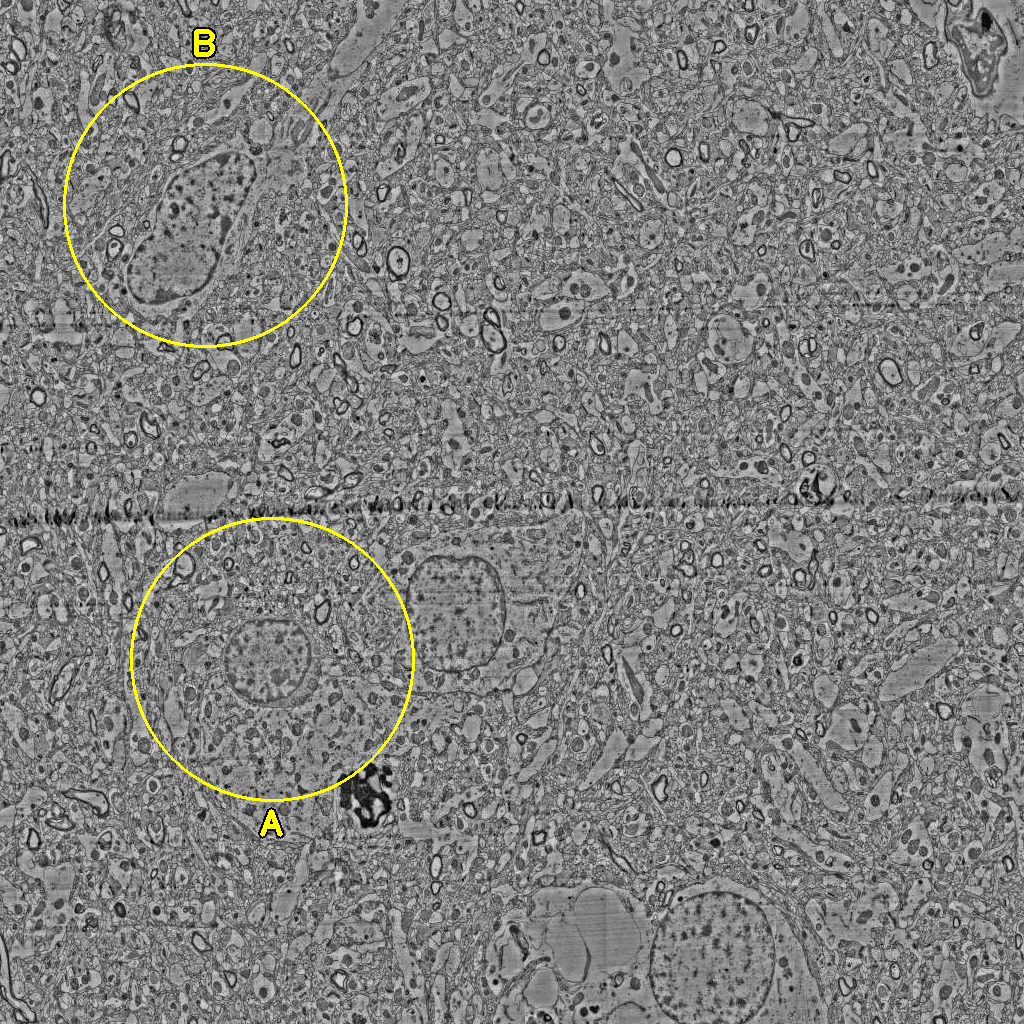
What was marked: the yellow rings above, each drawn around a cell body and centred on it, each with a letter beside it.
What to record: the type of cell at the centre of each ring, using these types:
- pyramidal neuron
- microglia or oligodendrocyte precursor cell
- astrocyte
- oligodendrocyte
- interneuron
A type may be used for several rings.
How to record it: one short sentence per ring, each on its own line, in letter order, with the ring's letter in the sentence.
Centred in ring A is an oligodendrocyte.
Centred in ring B is a microglial cell or oligodendrocyte precursor cell.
